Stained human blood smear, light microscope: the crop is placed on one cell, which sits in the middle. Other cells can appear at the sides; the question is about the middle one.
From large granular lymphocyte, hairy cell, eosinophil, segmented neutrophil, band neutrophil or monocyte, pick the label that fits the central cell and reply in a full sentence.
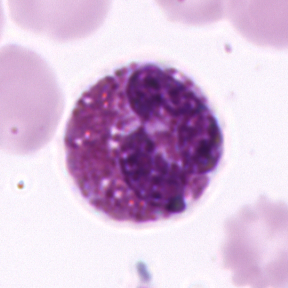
The single cell at the center of the crop is an eosinophil.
